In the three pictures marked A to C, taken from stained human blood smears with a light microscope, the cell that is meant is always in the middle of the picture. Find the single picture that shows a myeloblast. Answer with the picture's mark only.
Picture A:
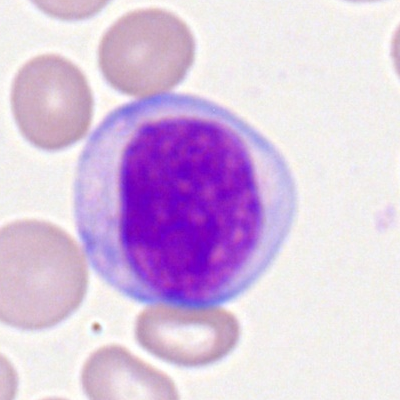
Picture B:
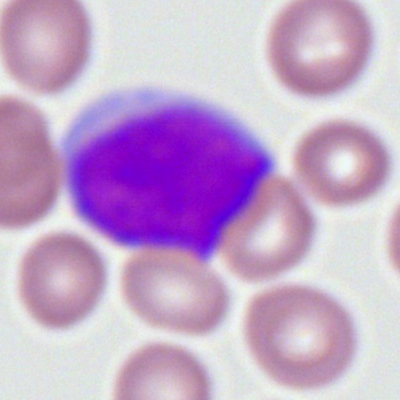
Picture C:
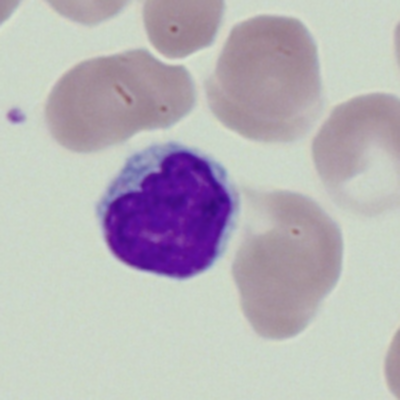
B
